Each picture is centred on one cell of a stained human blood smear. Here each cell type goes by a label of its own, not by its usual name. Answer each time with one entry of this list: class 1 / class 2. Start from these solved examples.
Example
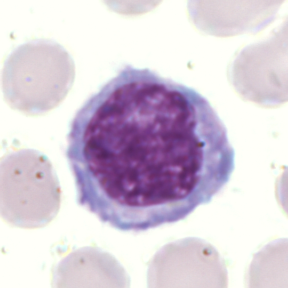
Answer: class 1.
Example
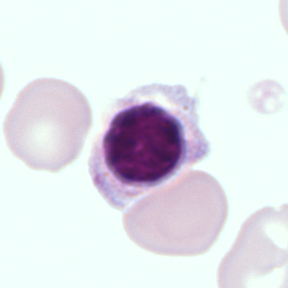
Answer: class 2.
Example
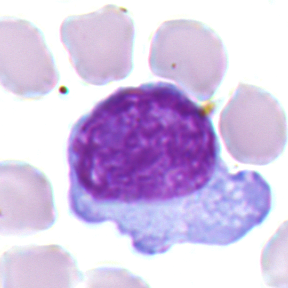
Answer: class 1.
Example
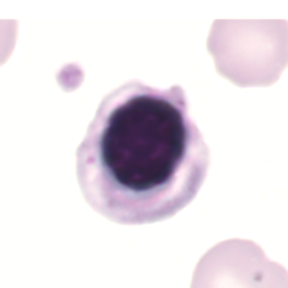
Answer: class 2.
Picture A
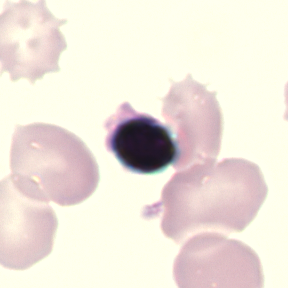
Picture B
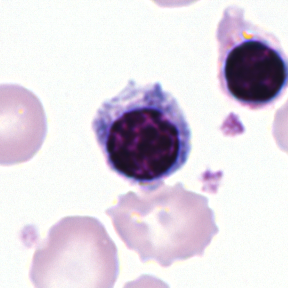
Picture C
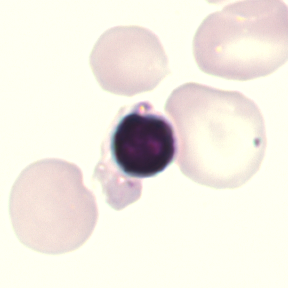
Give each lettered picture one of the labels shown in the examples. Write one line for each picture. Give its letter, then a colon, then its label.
A: class 2.
B: class 2.
C: class 2.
